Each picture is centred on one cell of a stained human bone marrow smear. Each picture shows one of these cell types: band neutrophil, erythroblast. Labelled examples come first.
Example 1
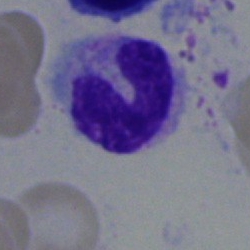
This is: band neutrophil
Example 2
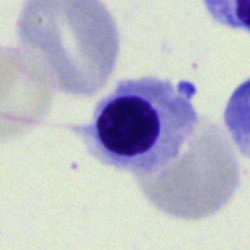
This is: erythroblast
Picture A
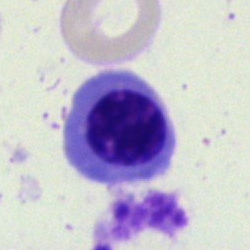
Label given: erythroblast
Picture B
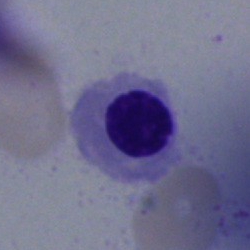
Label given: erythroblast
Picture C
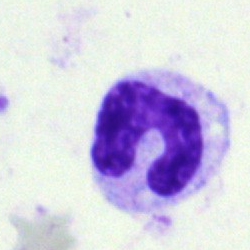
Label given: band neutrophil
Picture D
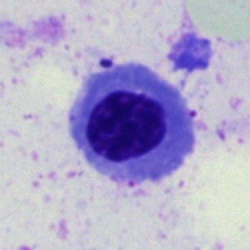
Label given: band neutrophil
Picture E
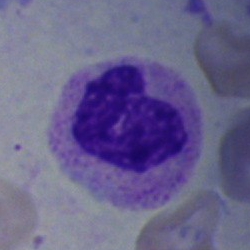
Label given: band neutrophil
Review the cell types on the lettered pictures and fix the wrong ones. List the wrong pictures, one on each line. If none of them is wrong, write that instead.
D: not band neutrophil but erythroblast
